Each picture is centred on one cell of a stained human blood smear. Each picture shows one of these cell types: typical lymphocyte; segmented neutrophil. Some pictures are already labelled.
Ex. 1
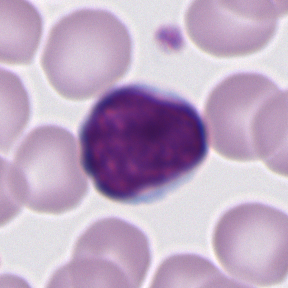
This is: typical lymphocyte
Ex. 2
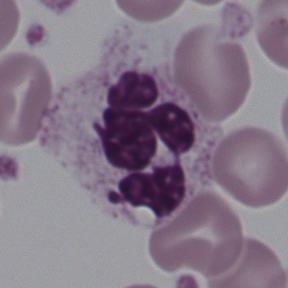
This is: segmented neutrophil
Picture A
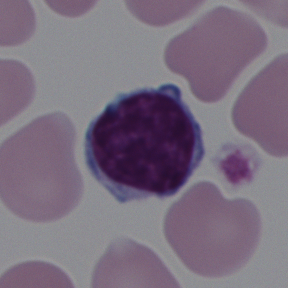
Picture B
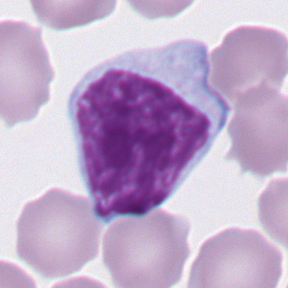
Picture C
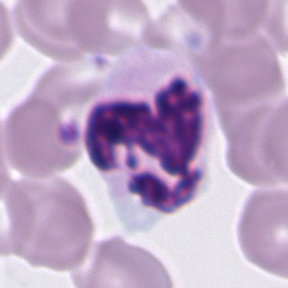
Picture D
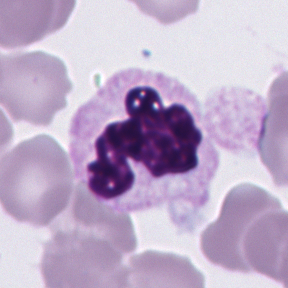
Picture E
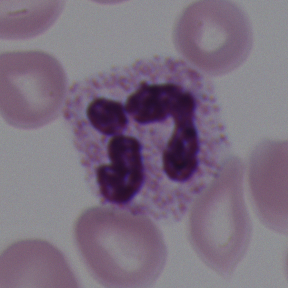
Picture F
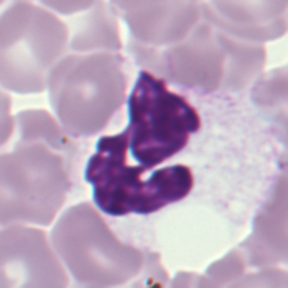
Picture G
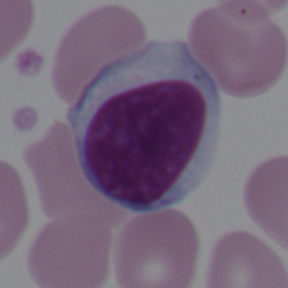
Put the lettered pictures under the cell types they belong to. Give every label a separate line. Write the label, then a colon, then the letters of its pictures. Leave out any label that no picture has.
typical lymphocyte: A, B, G
segmented neutrophil: C, D, E, F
